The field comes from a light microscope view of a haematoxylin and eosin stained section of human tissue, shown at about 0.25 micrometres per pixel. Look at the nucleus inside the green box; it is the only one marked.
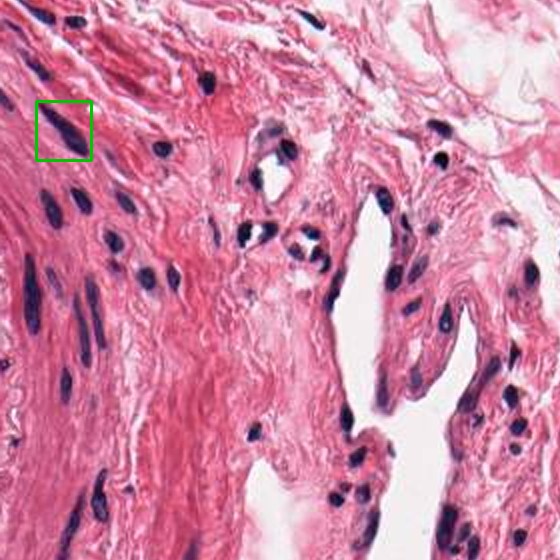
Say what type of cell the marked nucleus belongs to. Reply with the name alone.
smooth muscle cell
